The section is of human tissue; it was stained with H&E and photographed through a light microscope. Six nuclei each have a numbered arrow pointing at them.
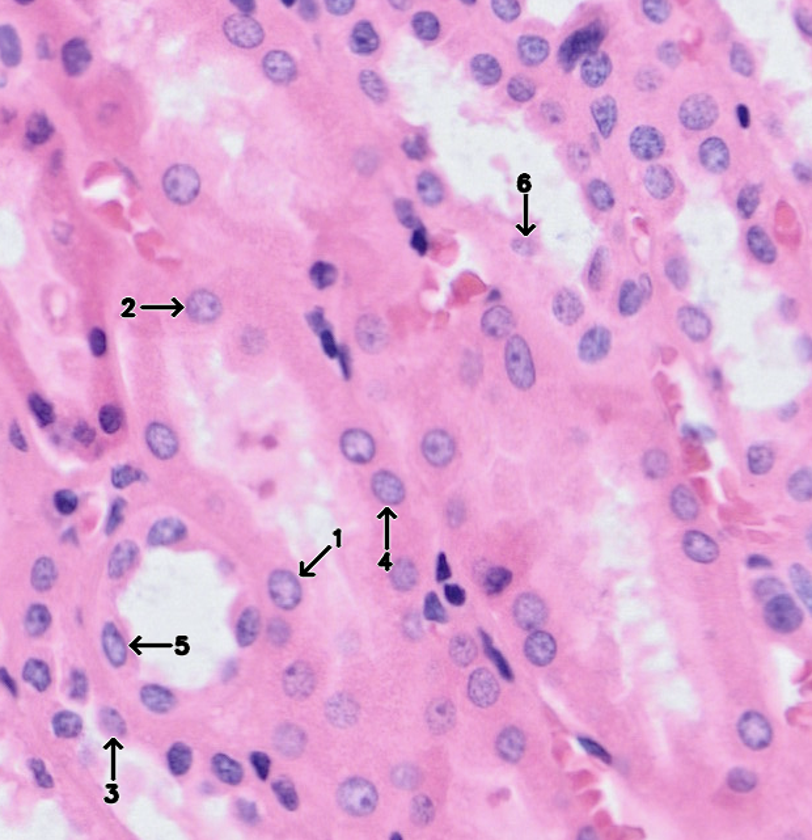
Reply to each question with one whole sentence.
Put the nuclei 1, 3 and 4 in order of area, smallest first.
Smallest first, the nuclei run 3, 4, 1.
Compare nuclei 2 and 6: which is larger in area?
The larger nucleus is 2, at roughly 2.5 times the area of 6.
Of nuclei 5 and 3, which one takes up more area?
The larger nucleus is 5, at roughly 1.5 times the area of 3.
